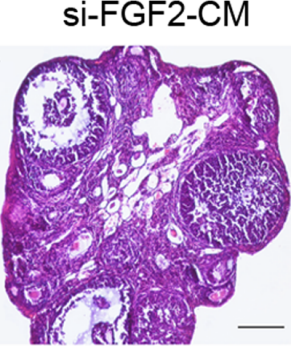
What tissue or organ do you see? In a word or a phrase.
ovaries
